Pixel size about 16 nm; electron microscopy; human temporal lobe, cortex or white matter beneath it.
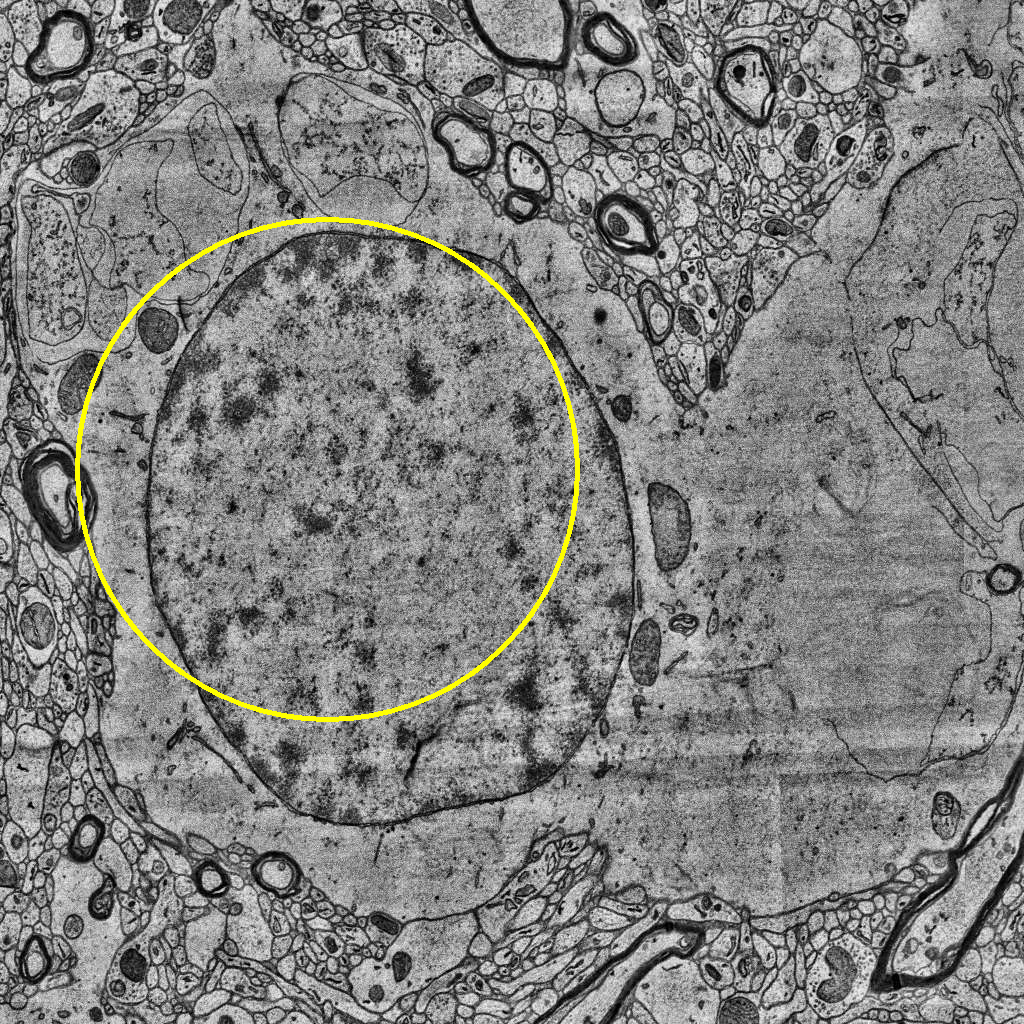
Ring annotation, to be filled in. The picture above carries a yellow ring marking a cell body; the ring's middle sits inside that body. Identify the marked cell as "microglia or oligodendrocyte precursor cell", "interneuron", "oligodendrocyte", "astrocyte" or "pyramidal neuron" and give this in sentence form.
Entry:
The cell at the middle of the ring is an astrocyte.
